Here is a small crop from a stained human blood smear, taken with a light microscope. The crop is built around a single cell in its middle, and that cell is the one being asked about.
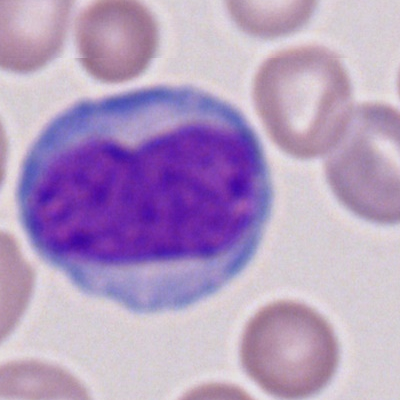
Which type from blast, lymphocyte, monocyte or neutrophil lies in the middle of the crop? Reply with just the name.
monocyte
